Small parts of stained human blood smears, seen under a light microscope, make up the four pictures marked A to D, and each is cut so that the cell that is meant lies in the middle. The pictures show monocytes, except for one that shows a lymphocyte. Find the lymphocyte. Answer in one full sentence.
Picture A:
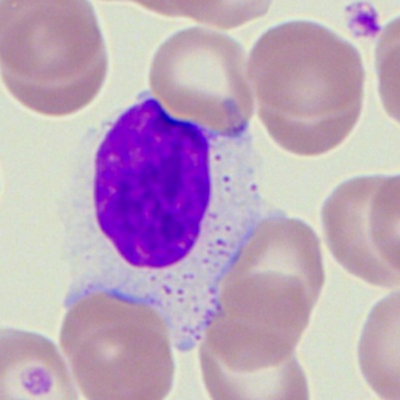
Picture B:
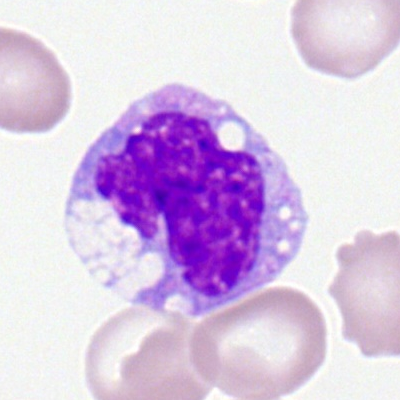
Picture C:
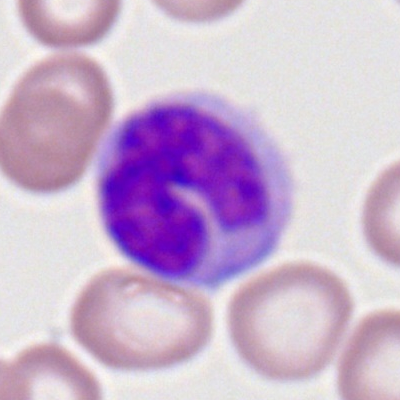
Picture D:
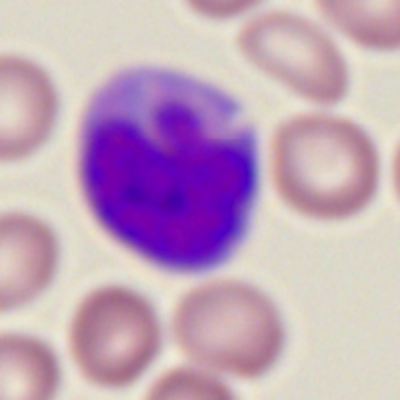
The lymphocyte is the one in picture A.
